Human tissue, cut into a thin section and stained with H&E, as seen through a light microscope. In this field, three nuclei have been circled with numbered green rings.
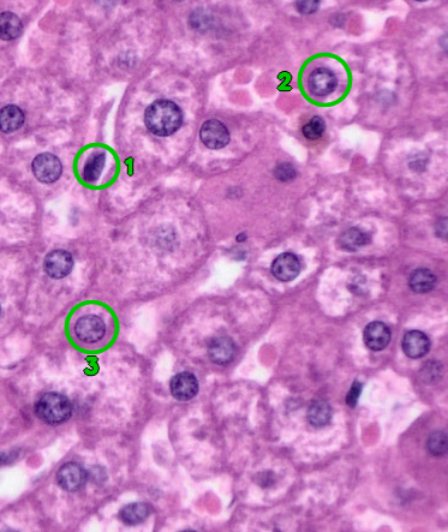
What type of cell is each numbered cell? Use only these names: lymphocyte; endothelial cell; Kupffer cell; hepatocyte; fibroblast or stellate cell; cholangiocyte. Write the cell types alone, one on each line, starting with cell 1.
Kupffer cell
hepatocyte
hepatocyte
